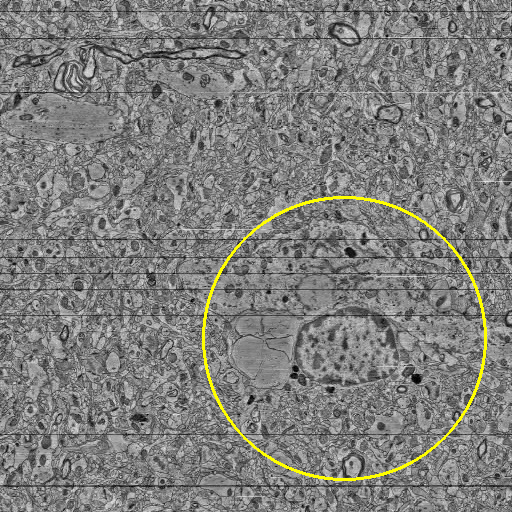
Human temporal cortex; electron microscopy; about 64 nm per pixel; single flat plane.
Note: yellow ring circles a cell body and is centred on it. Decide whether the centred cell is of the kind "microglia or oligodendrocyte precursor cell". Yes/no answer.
Yes, the centred cell is of that kind.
